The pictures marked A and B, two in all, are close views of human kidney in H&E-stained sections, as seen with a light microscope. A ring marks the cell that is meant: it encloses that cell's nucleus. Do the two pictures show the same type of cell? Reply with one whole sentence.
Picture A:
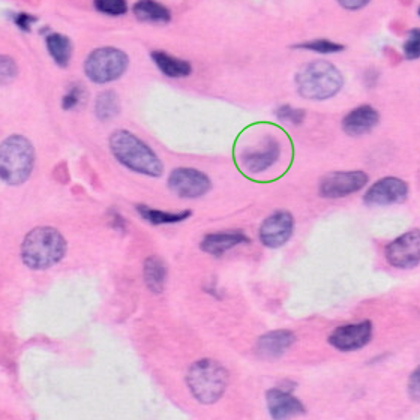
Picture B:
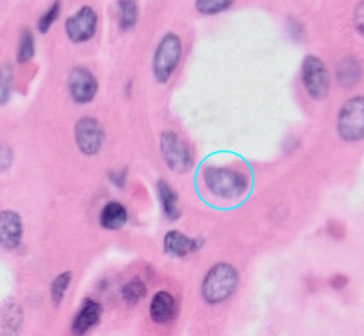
No, picture A shows a collecting duct cell and picture B shows a “loop of Henle or distal tubule cell”.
